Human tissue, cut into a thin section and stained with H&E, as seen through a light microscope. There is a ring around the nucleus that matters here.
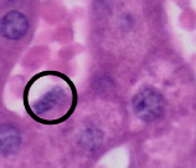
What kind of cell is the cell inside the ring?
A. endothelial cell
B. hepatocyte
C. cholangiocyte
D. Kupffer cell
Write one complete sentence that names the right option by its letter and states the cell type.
The accurate option is D, with the cell inside the ring being a Kupffer cell.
